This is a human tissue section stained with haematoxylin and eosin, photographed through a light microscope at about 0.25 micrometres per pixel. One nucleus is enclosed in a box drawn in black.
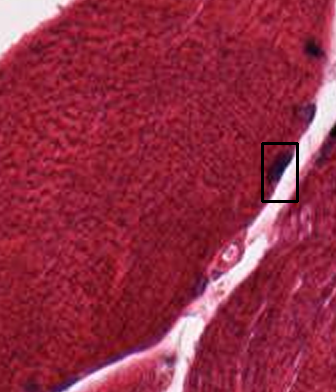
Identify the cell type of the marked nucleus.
skeletal muscle fibre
